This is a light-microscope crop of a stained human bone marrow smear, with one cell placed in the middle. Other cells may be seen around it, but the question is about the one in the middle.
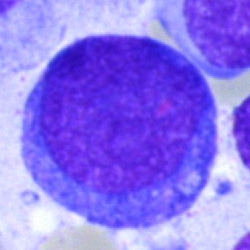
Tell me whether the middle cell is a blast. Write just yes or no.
yes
